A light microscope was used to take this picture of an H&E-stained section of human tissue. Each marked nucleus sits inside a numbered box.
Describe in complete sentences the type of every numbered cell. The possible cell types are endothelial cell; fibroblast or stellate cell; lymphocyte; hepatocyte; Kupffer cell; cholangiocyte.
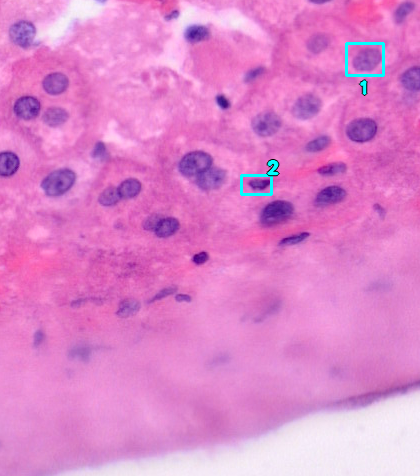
Cell 1 is a hepatocyte and cell 2 is a fibroblast or stellate cell.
